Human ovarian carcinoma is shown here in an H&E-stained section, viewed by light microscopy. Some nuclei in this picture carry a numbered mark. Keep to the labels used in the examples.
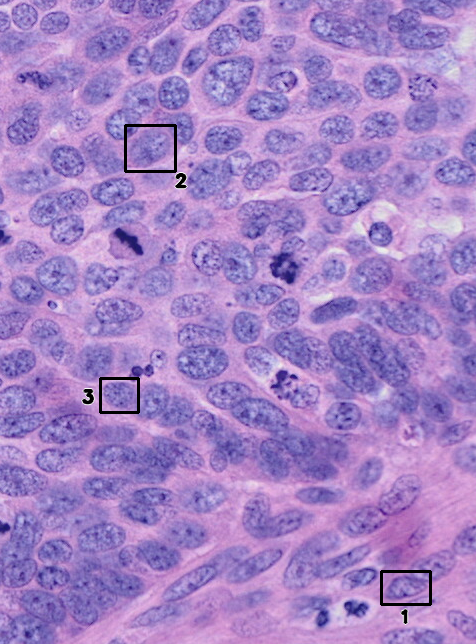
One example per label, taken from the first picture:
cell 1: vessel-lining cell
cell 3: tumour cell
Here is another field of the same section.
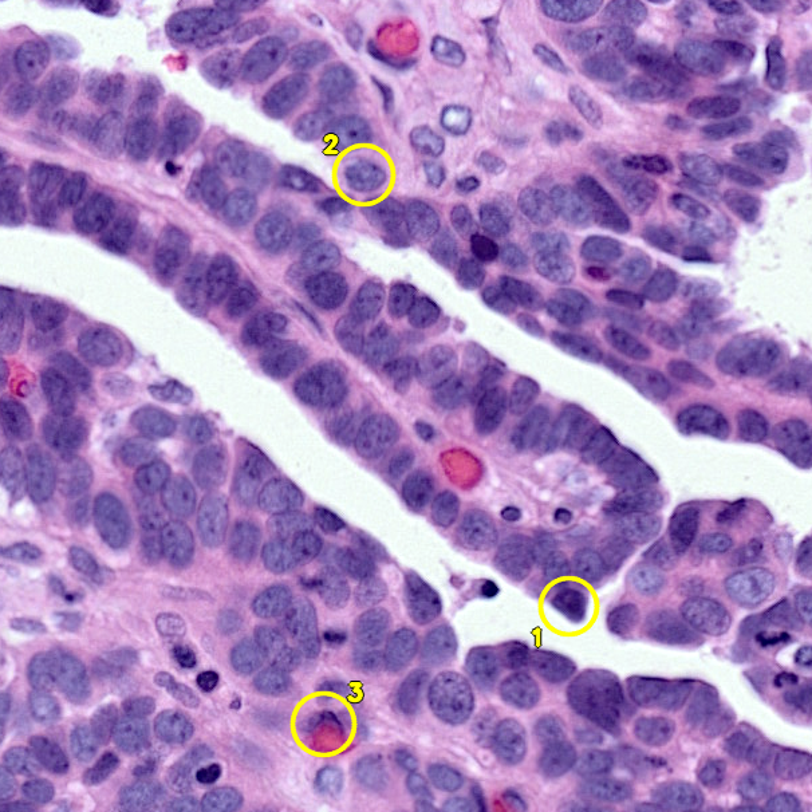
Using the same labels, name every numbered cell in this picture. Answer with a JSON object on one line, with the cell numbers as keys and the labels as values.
{"1": "tumour cell", "2": "tumour cell", "3": "vessel-lining cell"}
